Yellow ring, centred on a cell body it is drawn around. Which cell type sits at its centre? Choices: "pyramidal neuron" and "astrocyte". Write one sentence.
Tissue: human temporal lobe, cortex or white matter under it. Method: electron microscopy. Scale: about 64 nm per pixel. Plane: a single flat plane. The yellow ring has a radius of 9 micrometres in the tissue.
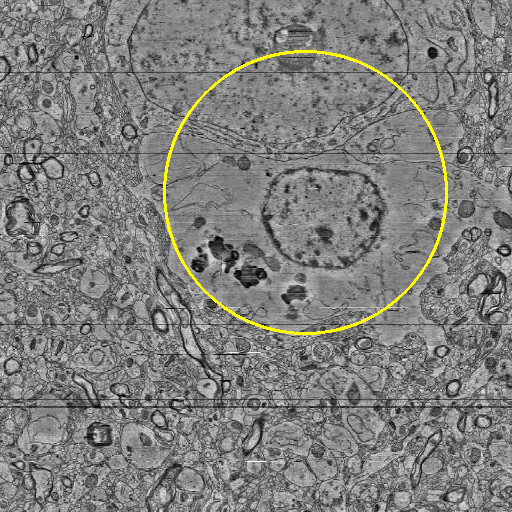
At the centre of the ring sits an astrocyte.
